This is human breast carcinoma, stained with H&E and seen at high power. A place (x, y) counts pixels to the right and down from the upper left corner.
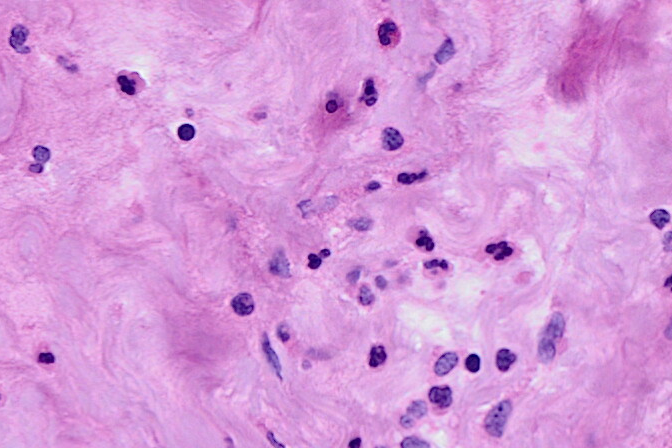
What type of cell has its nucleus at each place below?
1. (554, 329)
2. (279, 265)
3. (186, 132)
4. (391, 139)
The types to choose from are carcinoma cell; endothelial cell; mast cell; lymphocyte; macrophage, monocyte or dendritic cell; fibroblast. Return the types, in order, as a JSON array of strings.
["fibroblast", "fibroblast", "lymphocyte", "mast cell"]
